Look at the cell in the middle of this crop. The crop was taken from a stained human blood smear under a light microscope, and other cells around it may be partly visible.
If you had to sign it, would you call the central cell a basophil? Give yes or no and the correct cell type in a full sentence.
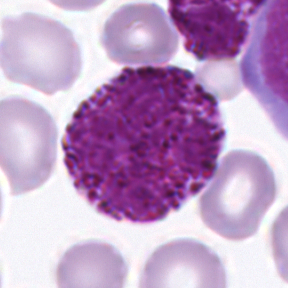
Yes, the cell in the center of the field is a basophil.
